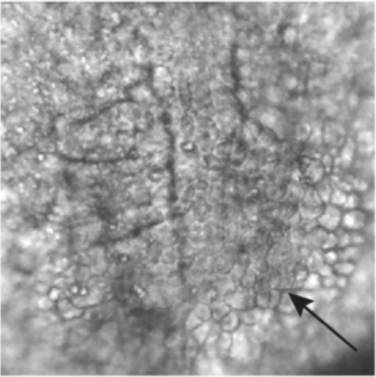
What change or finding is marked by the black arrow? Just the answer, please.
Cell dissociation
